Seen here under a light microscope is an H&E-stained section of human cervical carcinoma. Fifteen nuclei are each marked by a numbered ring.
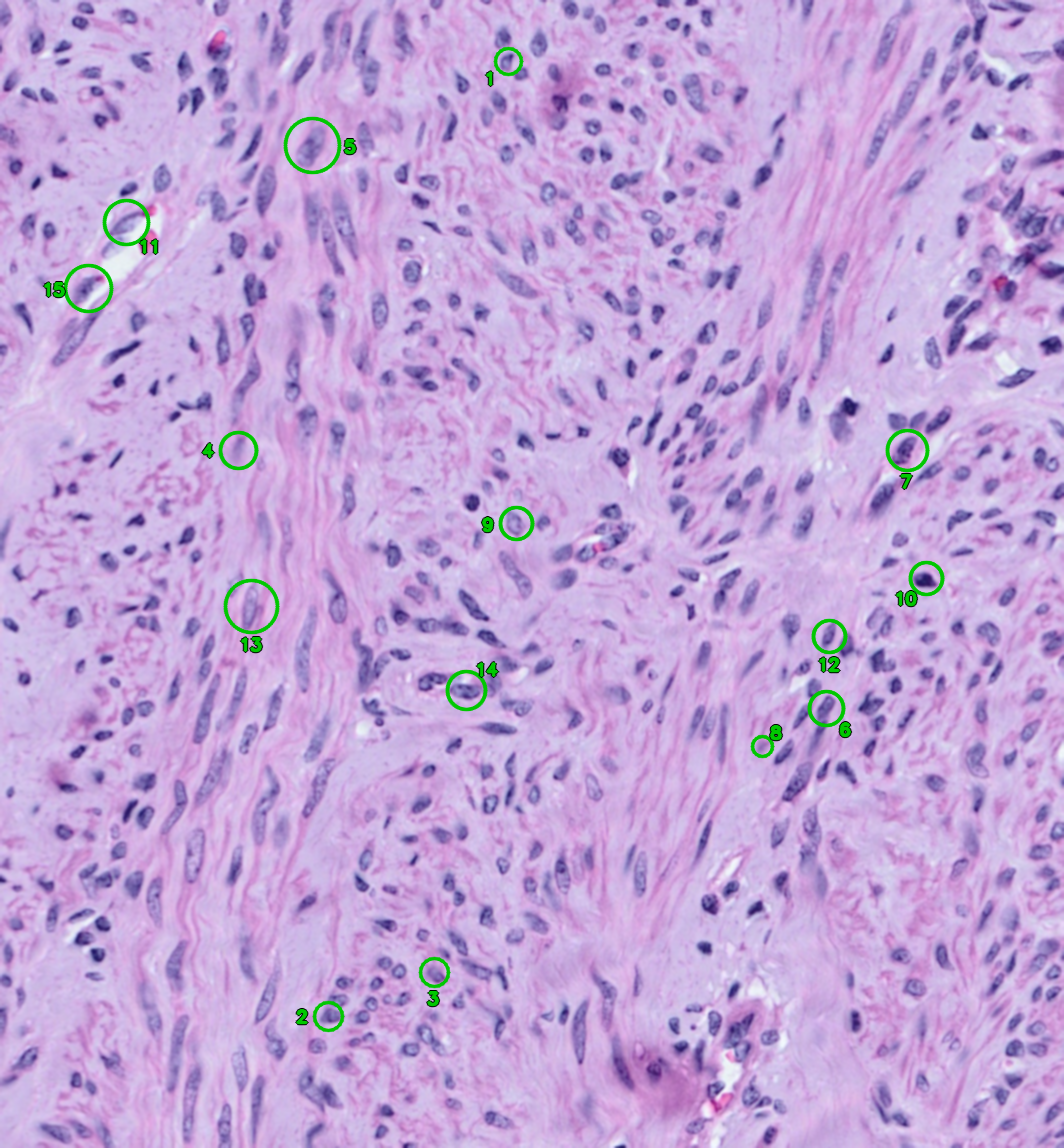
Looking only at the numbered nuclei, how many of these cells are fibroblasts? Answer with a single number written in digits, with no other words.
2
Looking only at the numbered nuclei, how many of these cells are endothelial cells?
4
